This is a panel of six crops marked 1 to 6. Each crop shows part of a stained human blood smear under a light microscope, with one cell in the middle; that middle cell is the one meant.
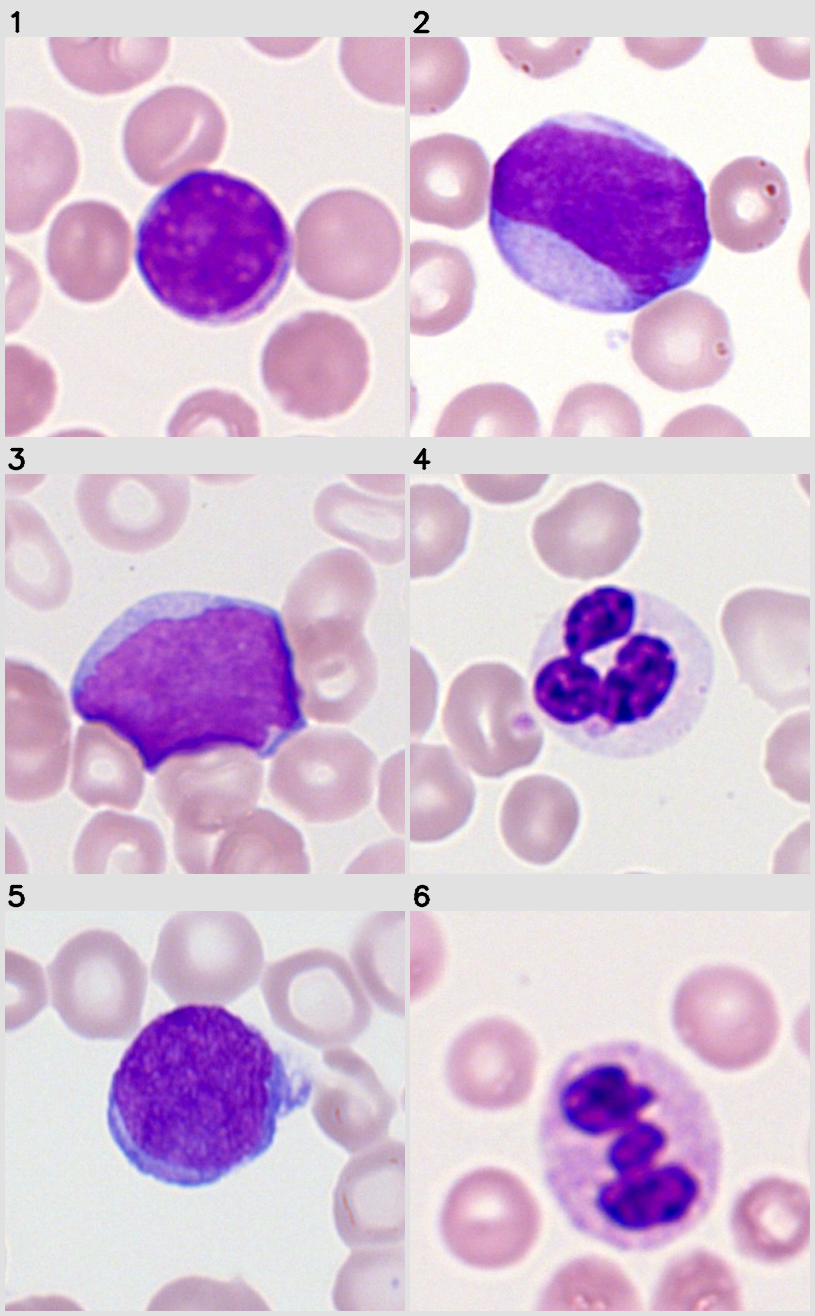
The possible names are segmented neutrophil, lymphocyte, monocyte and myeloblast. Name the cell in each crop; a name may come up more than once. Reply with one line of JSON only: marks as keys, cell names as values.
{"1": "lymphocyte", "2": "myeloblast", "3": "myeloblast", "4": "segmented neutrophil", "5": "myeloblast", "6": "segmented neutrophil"}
